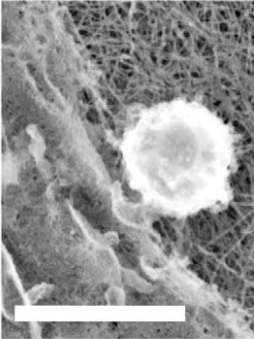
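A single round, granule-sized body with a bumpy surface sits on the meshwork near the centre. At the left edge lies a ridged, folded sheet of membrane in which no filaments can be made out.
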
